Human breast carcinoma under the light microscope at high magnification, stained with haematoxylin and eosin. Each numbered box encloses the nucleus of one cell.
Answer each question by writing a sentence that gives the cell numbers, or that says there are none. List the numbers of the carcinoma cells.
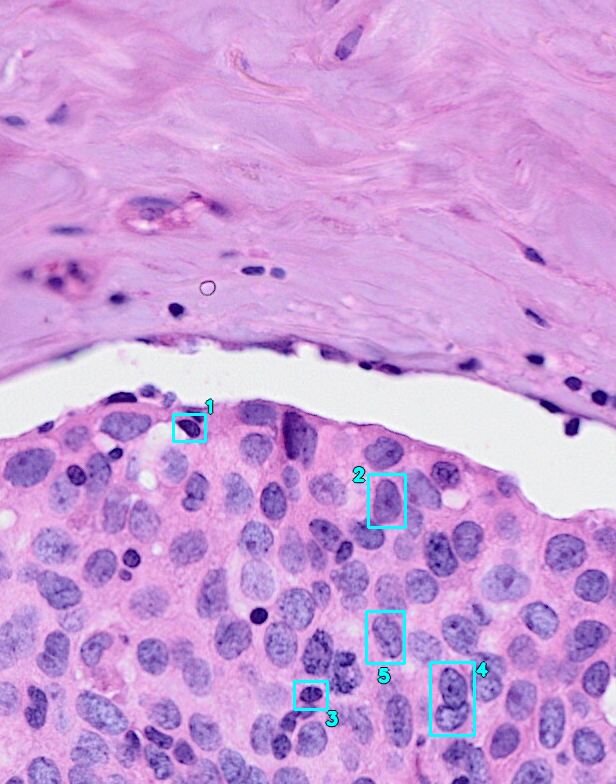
The cells assigned the numbers 2, 4 and 5 are carcinoma cells.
